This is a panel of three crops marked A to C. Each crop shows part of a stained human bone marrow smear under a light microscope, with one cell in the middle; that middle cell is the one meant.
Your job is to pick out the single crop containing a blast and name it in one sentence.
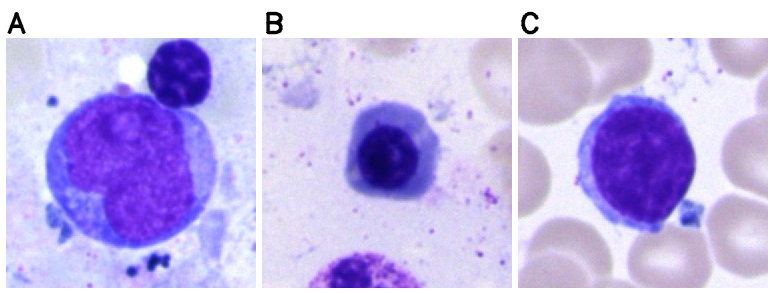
Of the labelled crops, the one that shows a blast is crop A.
